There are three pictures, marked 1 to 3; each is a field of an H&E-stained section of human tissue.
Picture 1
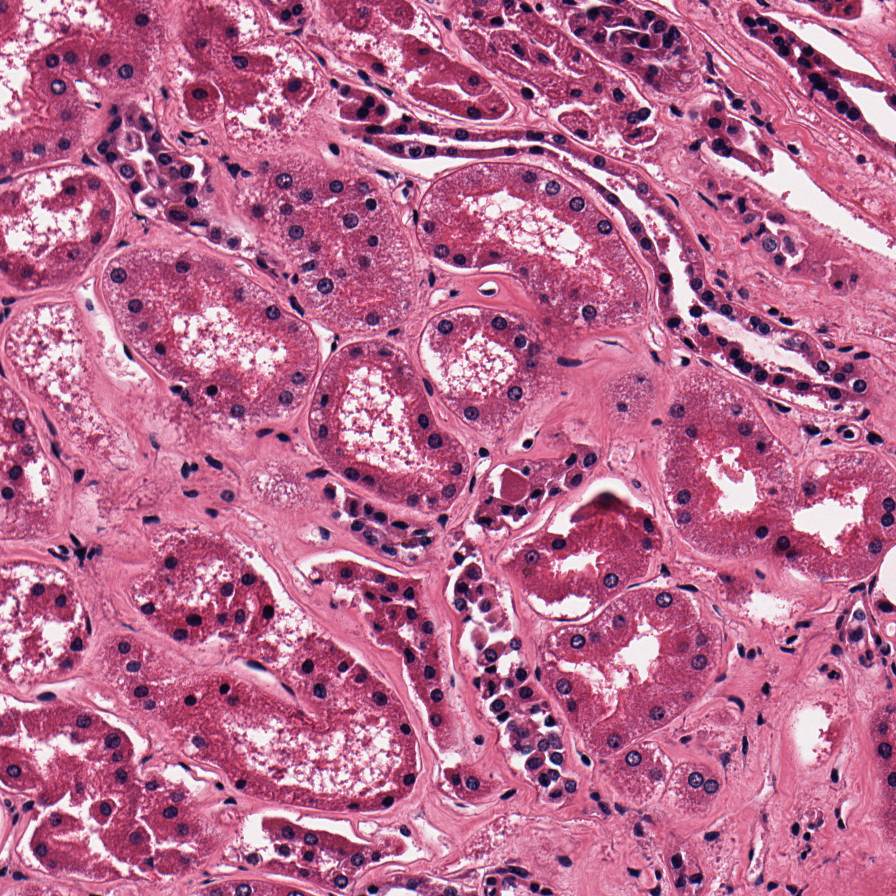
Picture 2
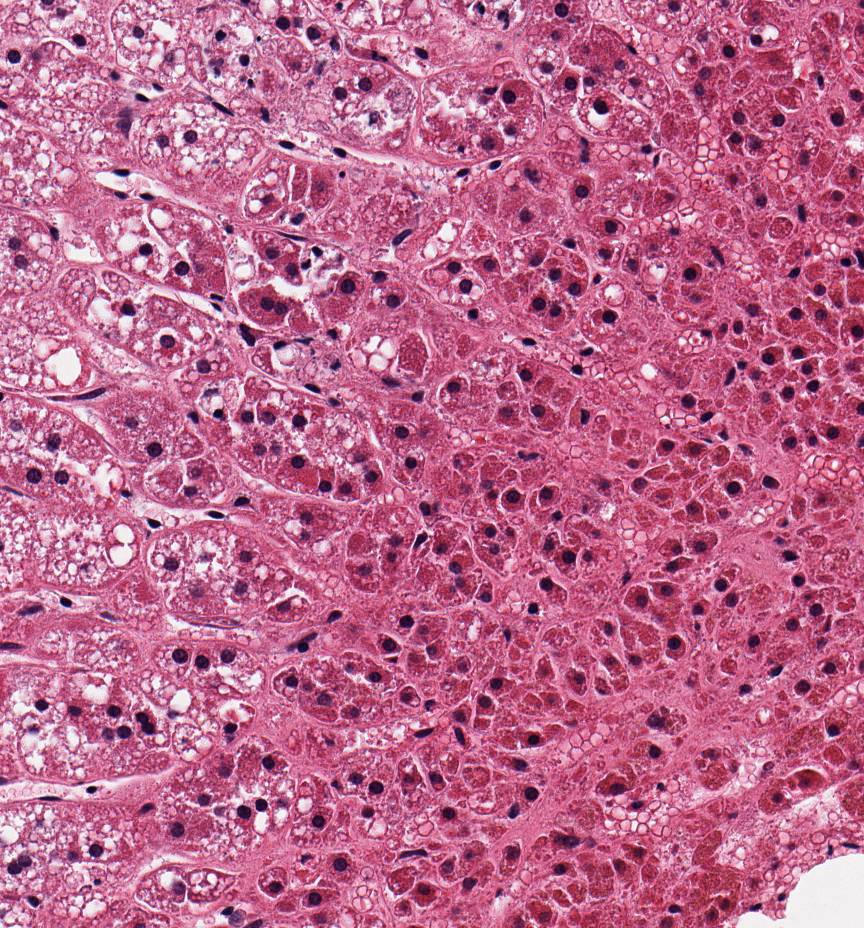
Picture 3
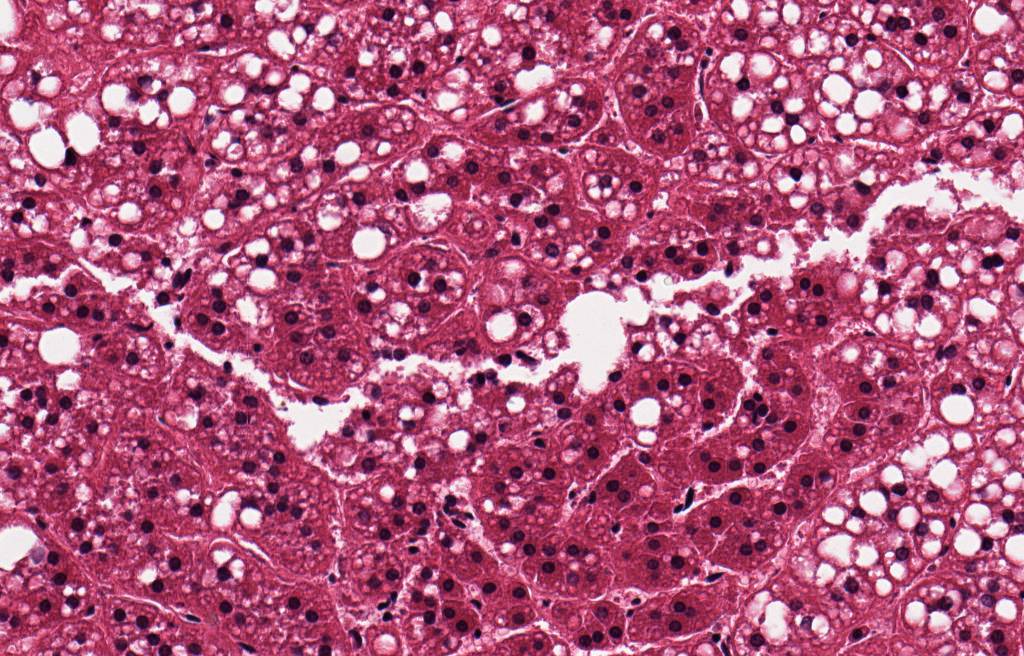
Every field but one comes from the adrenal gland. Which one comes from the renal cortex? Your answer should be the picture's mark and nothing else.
1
